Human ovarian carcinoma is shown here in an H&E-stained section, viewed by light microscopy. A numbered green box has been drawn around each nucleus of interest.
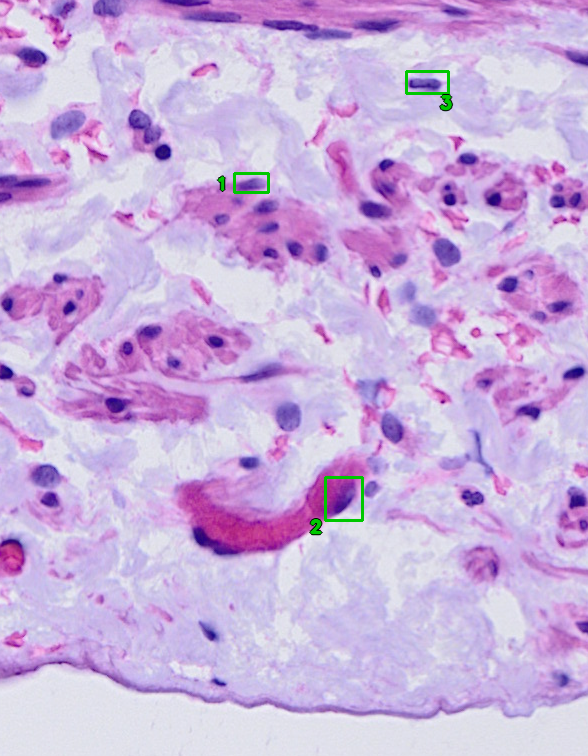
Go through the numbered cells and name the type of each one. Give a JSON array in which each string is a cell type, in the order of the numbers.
["smooth muscle cell", "endothelial cell", "fibroblast"]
